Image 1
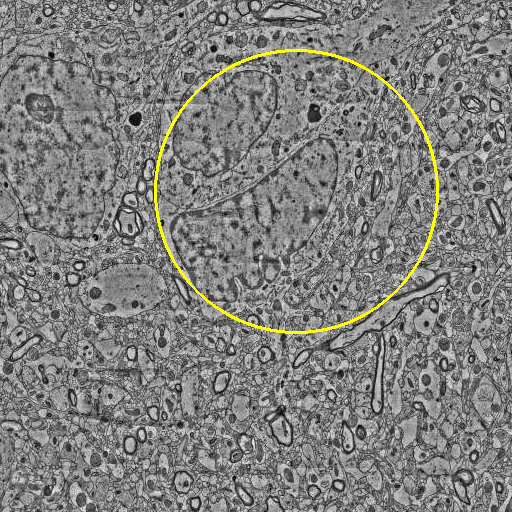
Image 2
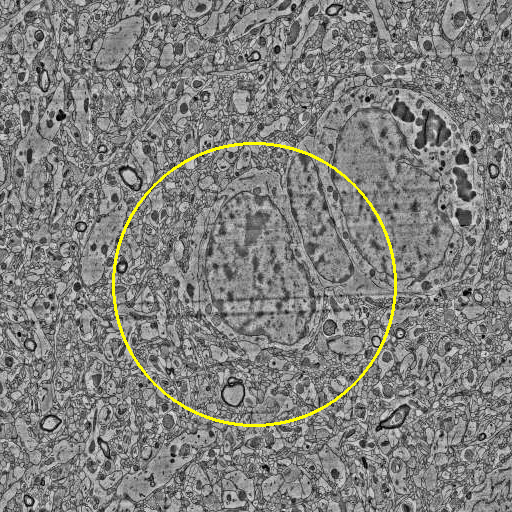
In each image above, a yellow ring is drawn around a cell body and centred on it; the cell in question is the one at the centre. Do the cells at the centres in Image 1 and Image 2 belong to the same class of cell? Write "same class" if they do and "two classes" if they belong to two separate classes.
two classes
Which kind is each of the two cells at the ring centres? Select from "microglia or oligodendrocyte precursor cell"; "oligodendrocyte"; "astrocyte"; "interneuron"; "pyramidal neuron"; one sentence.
The cell at the centre of the ring is a microglial cell or oligodendrocyte precursor cell in the first picture and an interneuron in the second.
